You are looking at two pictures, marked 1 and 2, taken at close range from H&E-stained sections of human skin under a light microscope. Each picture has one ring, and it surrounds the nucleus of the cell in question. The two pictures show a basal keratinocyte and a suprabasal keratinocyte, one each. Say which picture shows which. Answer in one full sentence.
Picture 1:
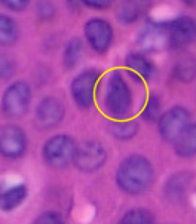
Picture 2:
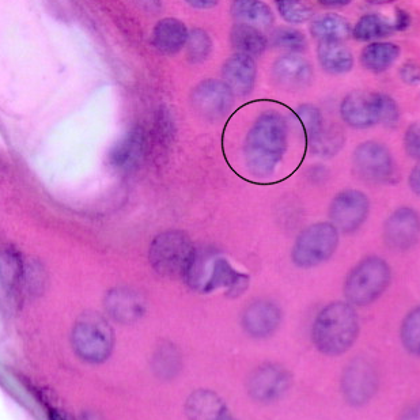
Picture 1 shows a basal keratinocyte and picture 2 shows a suprabasal keratinocyte.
